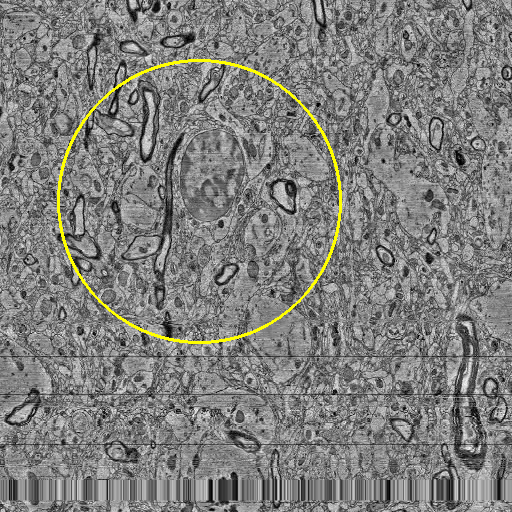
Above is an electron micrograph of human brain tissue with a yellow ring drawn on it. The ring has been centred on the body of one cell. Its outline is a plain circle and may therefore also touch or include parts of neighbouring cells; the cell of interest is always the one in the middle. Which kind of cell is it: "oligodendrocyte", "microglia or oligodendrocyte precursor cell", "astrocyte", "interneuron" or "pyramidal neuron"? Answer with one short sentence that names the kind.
The ring's central cell body is that of a microglial cell or oligodendrocyte precursor cell.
